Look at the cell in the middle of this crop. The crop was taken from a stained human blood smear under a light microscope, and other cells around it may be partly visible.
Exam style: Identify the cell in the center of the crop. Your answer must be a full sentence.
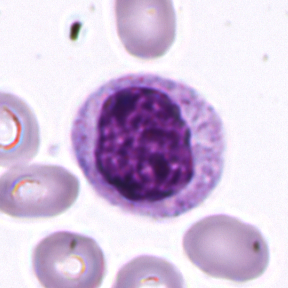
Occupying the centre of the crop is a metamyelocyte.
